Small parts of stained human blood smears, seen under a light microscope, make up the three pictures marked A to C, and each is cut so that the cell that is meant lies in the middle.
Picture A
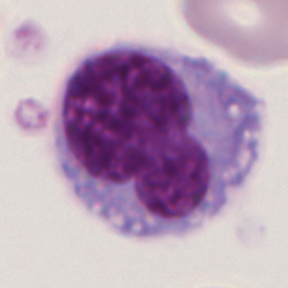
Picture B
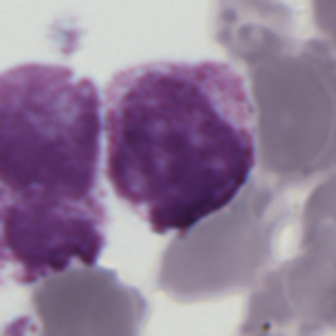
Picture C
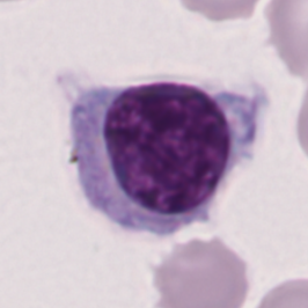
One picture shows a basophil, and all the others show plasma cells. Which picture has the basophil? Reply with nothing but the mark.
B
